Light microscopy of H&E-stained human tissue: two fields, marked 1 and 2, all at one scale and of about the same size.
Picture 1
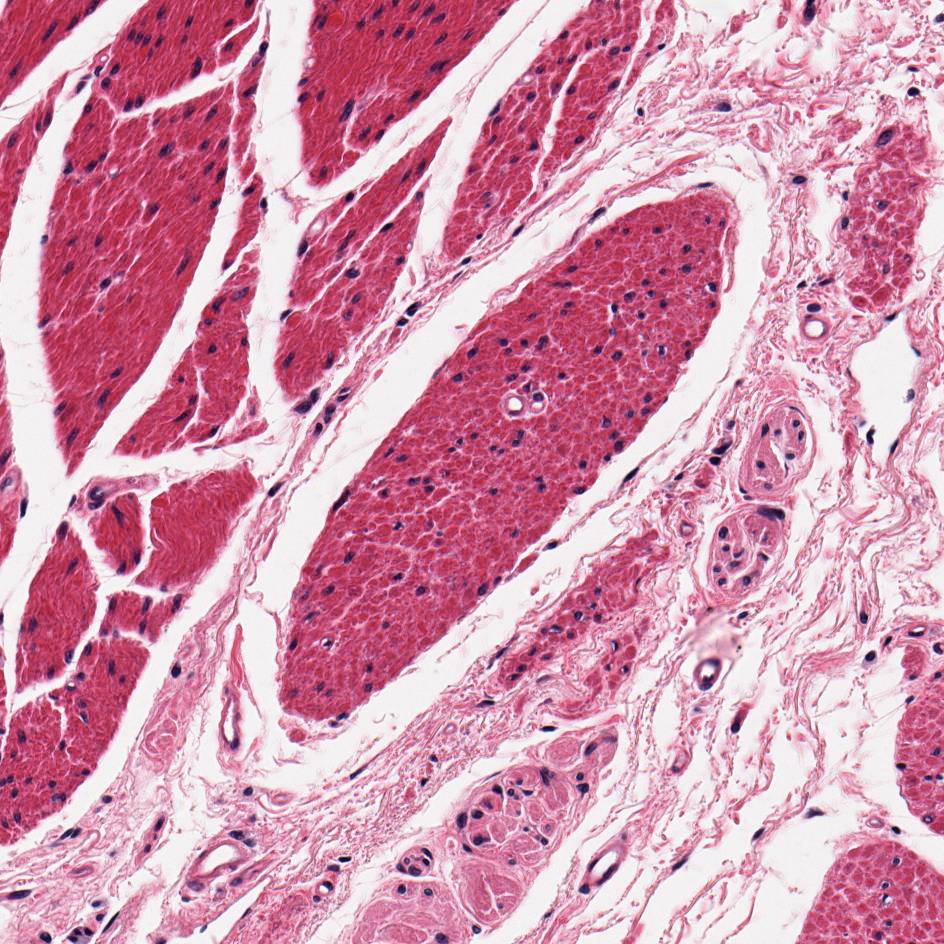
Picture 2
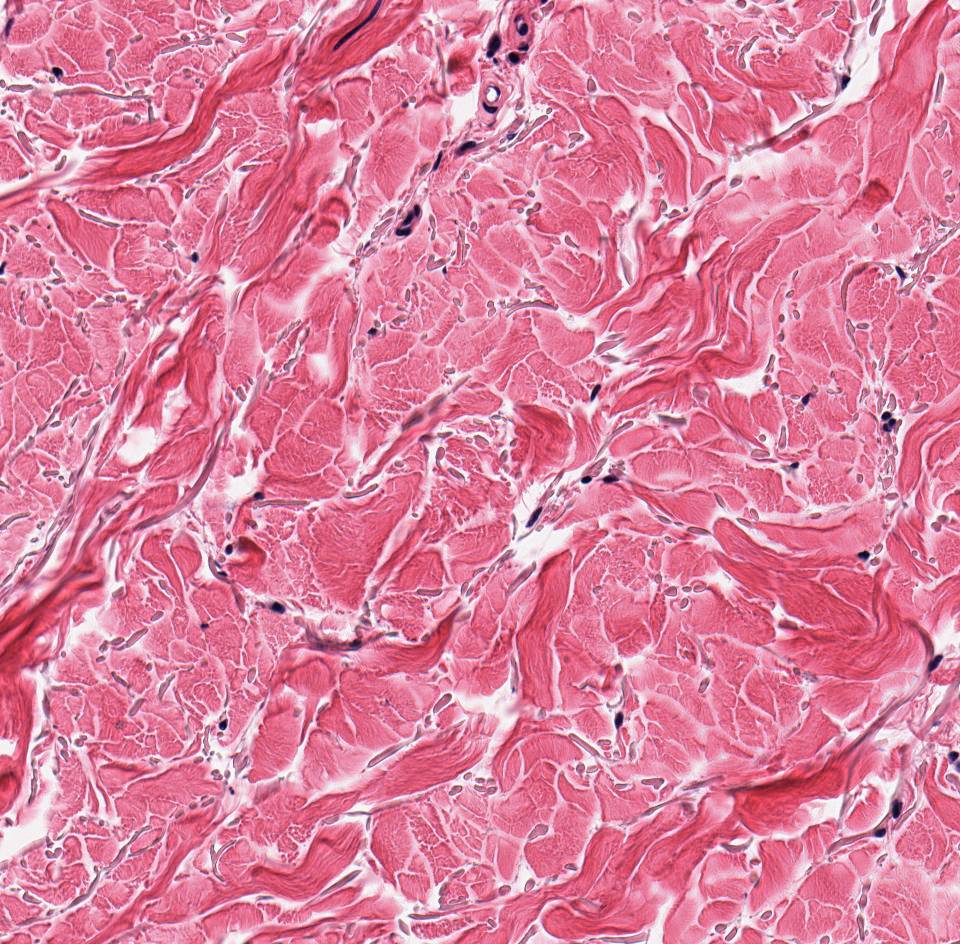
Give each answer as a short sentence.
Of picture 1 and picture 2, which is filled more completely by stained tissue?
Less of picture 2 is empty and white.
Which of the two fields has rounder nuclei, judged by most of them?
On the whole the nuclei of picture 1 are rounder than those of picture 2.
